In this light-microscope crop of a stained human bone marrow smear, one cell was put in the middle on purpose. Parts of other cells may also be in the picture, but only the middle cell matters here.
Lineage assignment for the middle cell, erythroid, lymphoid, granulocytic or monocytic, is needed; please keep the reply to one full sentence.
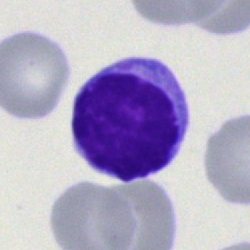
In terms of lineage, the cell at the center is lymphoid.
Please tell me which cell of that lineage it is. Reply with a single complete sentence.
Looking at the middle of the crop, the cell there is a lymphocyte.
